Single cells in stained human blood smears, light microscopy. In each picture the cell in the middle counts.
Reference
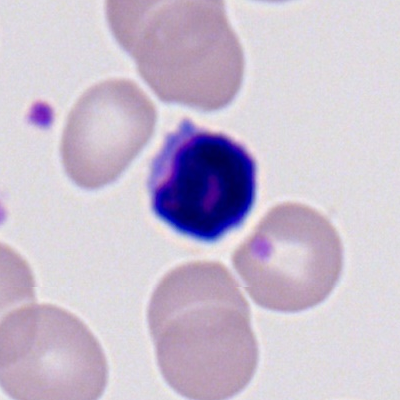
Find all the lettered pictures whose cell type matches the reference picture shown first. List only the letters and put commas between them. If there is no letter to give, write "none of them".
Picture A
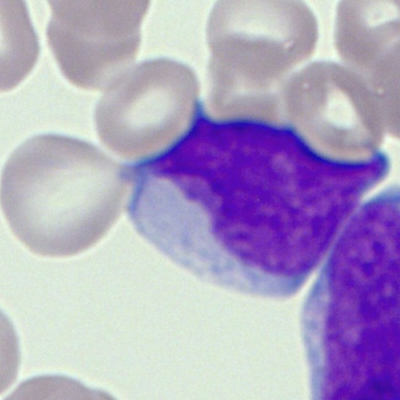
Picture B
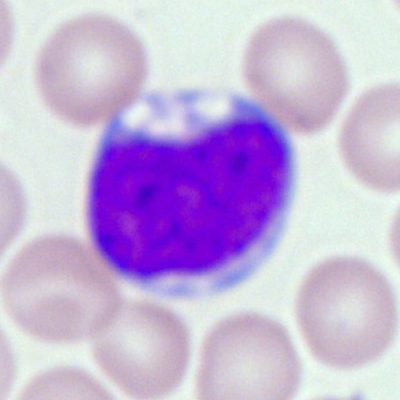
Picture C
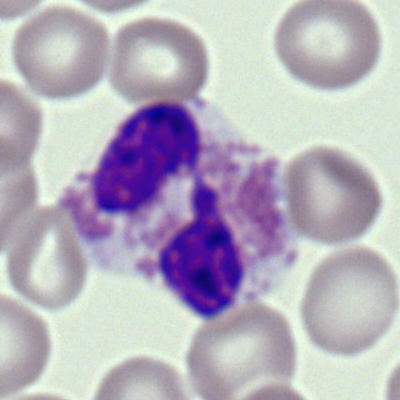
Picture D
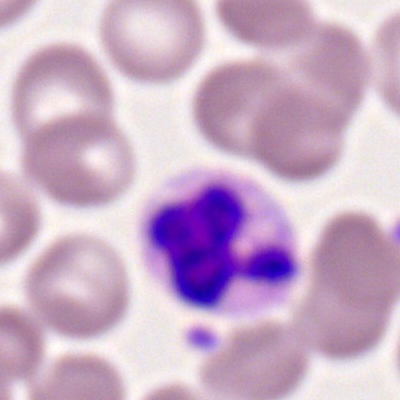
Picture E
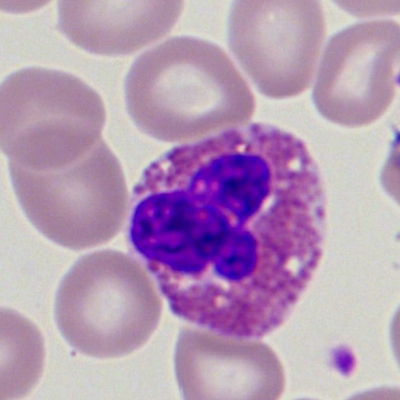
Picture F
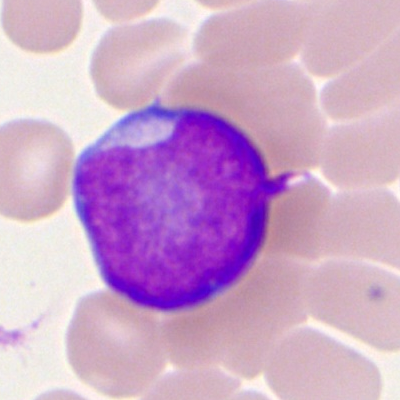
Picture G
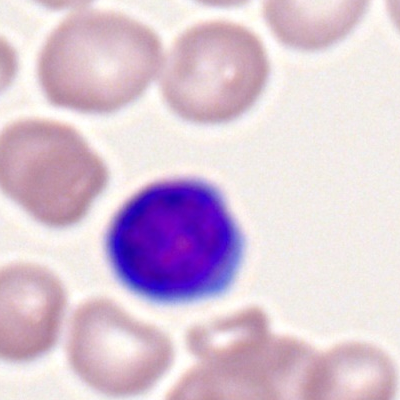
G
